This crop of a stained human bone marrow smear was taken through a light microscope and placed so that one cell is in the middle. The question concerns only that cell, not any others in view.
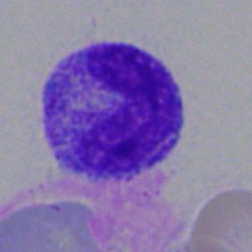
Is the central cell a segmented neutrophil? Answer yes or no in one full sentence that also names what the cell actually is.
No, instead of a segmented neutrophil, the middle cell is a band neutrophil.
